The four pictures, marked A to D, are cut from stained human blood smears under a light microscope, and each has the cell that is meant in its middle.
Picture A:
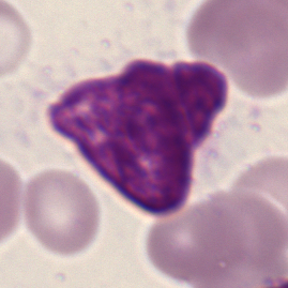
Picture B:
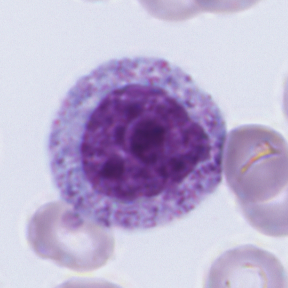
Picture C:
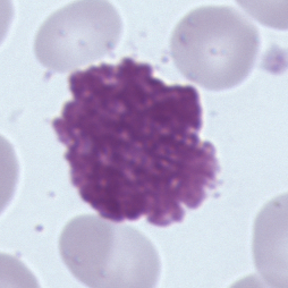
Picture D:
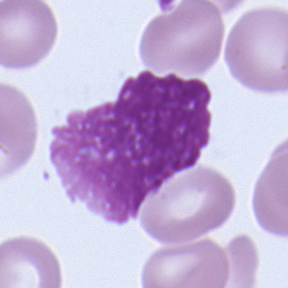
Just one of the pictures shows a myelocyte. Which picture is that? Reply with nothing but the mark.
B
